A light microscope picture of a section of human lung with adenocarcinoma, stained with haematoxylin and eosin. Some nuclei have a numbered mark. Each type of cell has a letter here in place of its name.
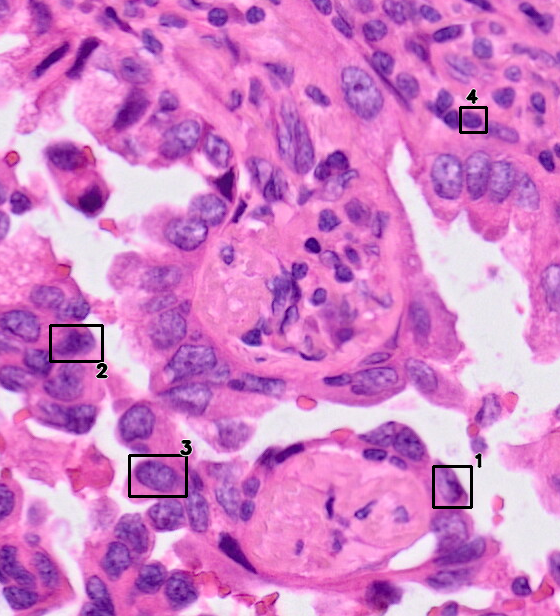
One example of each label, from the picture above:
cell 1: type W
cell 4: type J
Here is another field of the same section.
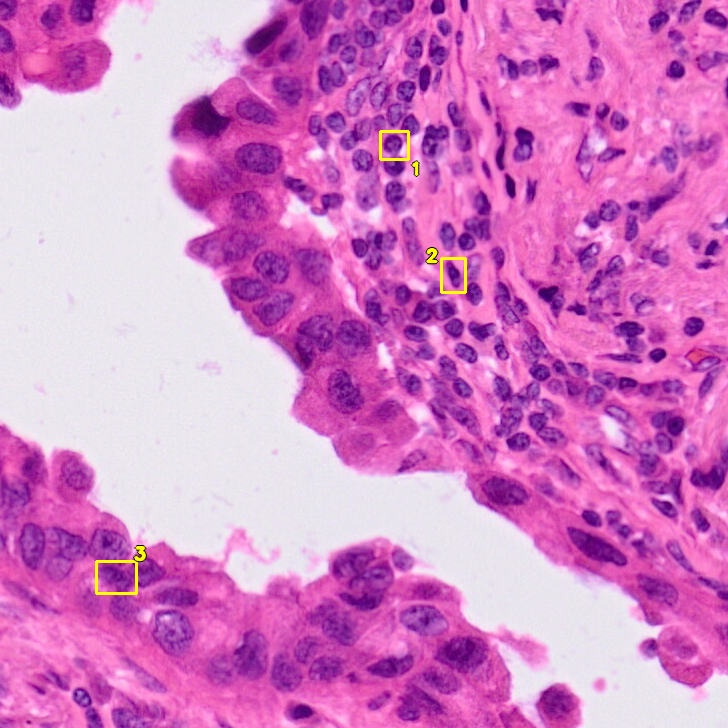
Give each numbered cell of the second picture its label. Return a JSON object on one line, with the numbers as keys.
{"1": "type J", "2": "type J", "3": "type W"}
